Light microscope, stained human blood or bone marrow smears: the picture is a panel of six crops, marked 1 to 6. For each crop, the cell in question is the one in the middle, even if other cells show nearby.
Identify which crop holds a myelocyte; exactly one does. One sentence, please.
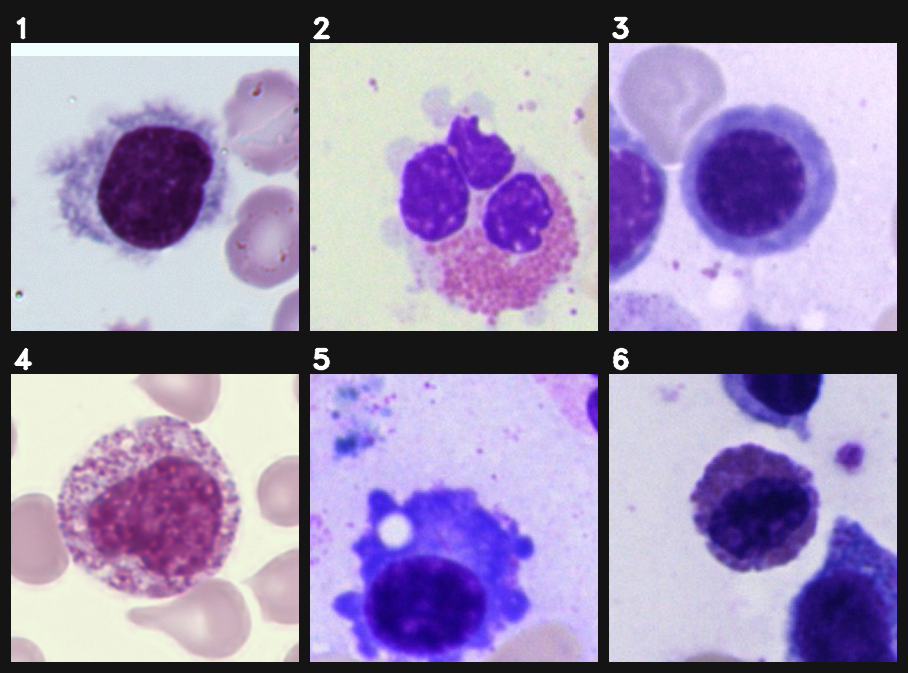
Crop 4, and no other, shows a myelocyte.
